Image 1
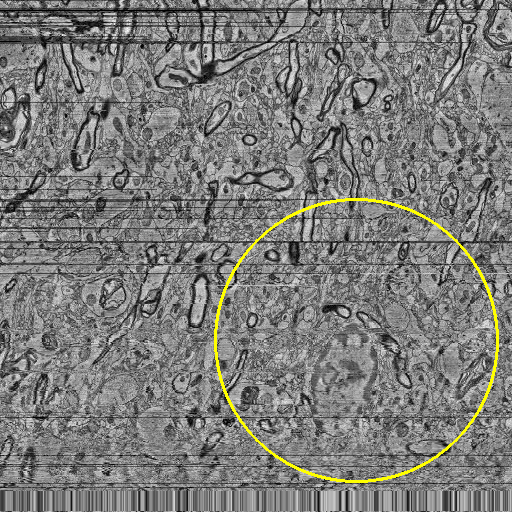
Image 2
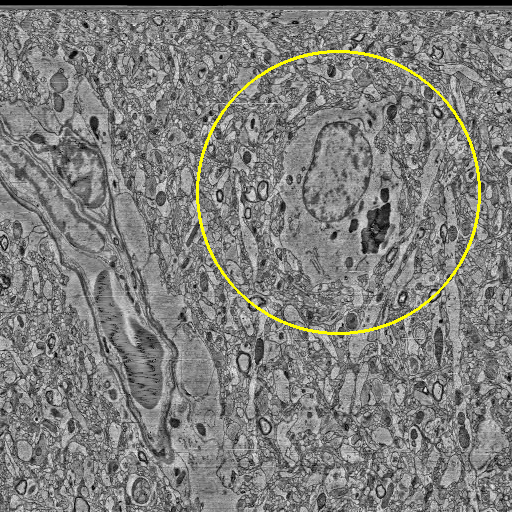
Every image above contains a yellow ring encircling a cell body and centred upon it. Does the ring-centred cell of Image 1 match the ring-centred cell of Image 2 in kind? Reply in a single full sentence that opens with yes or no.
No, the cell at the ring's centre in Image 1 is a separate kind from that in Image 2.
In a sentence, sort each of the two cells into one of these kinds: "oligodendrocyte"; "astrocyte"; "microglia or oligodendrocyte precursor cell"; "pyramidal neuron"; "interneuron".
The first of the two cells is a microglial cell or oligodendrocyte precursor cell, and the second is an astrocyte.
